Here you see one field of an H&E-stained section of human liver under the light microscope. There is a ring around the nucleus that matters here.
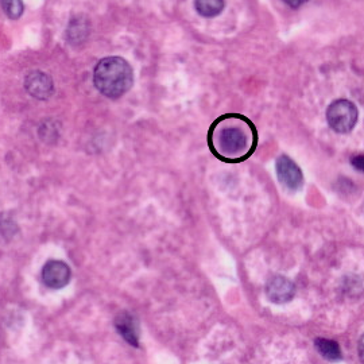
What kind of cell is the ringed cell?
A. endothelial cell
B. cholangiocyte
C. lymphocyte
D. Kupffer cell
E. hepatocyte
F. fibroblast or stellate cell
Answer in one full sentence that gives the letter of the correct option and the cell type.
Hey, it is option F: the ringed cell is a fibroblast or stellate cell.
